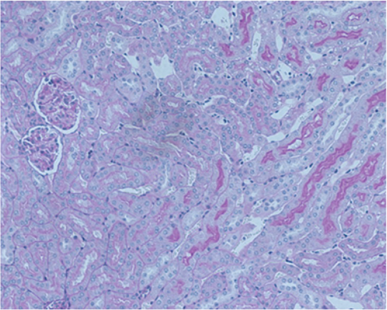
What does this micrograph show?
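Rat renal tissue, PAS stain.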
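This is kidney cortex with a couple of glomeruli, each a rounded tuft of capillaries inside a thin capsule, surrounded by densely packed tubules. The tubules are lined by cuboidal epithelial cells with small blue-purple nuclei and pale pink cytoplasm. Their luminal borders and basement membranes stand out in magenta, and a few tubules are filled with strongly magenta material. The tubules sit close together with little space between them.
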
